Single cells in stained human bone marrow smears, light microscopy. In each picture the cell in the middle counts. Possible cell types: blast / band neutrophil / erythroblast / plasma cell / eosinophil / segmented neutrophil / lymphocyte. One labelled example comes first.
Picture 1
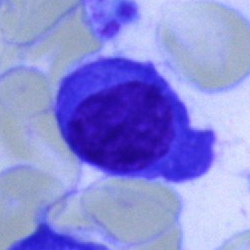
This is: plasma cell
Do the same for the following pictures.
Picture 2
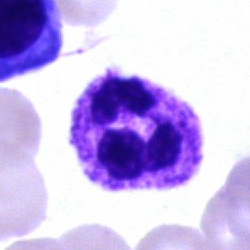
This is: segmented neutrophil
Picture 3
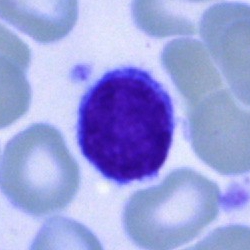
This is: lymphocyte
